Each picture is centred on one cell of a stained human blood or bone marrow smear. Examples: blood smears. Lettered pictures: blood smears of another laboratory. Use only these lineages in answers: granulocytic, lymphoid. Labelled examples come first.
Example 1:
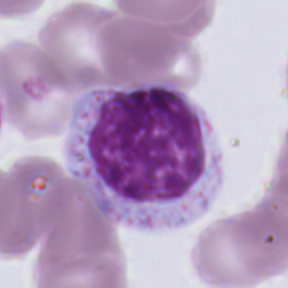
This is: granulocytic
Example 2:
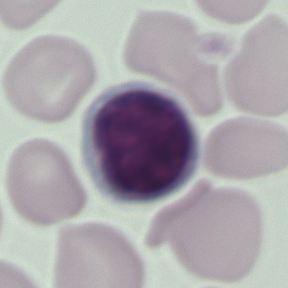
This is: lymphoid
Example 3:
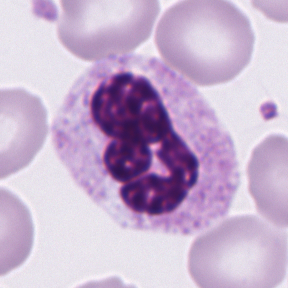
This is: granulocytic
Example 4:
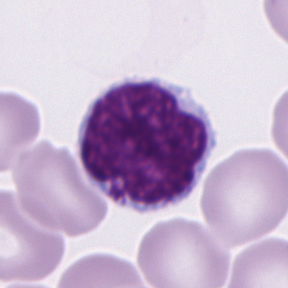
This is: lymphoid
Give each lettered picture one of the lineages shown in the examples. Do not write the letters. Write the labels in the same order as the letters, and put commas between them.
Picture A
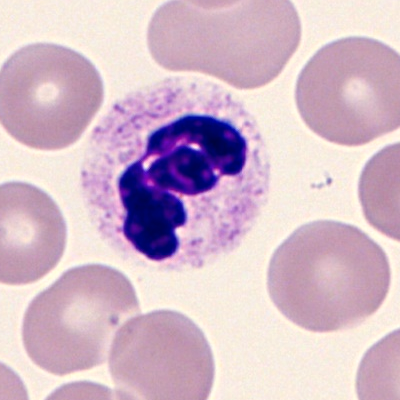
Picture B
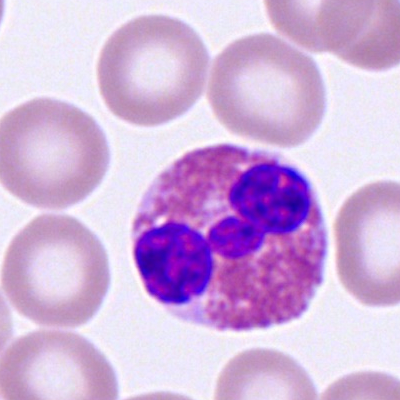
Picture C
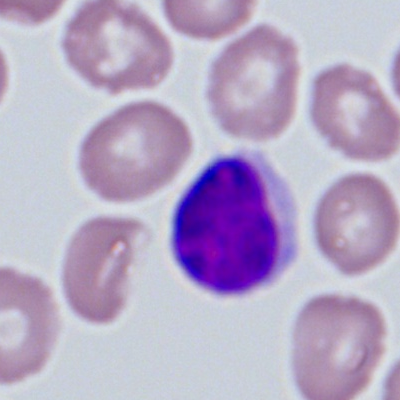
granulocytic, granulocytic, lymphoid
